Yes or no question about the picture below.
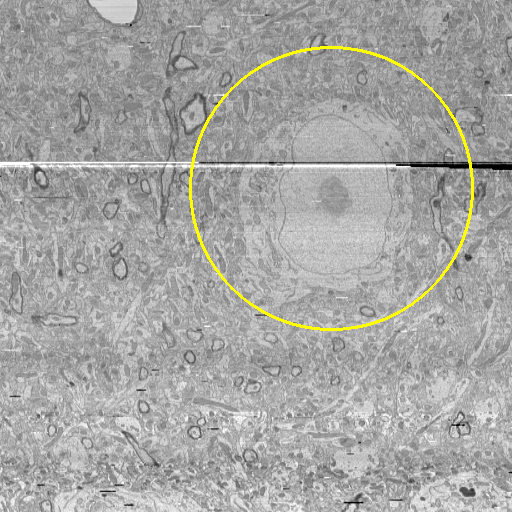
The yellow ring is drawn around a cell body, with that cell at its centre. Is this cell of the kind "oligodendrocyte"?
no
